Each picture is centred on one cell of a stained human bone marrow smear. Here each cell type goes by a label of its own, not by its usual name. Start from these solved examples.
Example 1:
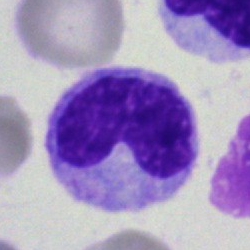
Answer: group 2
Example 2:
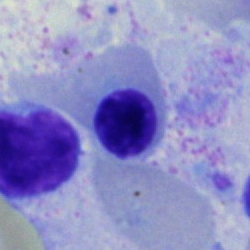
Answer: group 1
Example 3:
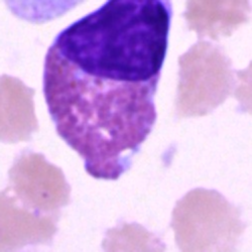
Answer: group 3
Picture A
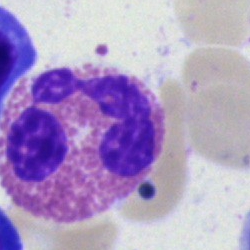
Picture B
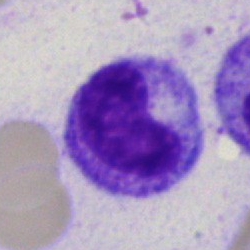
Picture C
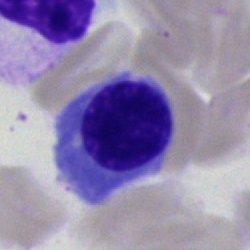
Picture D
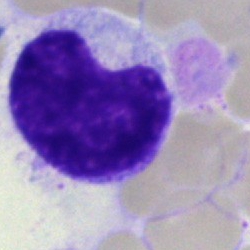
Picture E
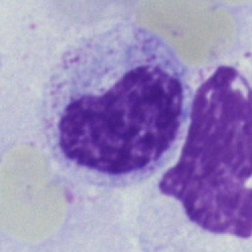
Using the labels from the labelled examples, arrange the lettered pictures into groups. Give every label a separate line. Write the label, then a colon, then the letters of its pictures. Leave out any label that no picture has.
group 2: B, D, E
group 1: C
group 3: A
